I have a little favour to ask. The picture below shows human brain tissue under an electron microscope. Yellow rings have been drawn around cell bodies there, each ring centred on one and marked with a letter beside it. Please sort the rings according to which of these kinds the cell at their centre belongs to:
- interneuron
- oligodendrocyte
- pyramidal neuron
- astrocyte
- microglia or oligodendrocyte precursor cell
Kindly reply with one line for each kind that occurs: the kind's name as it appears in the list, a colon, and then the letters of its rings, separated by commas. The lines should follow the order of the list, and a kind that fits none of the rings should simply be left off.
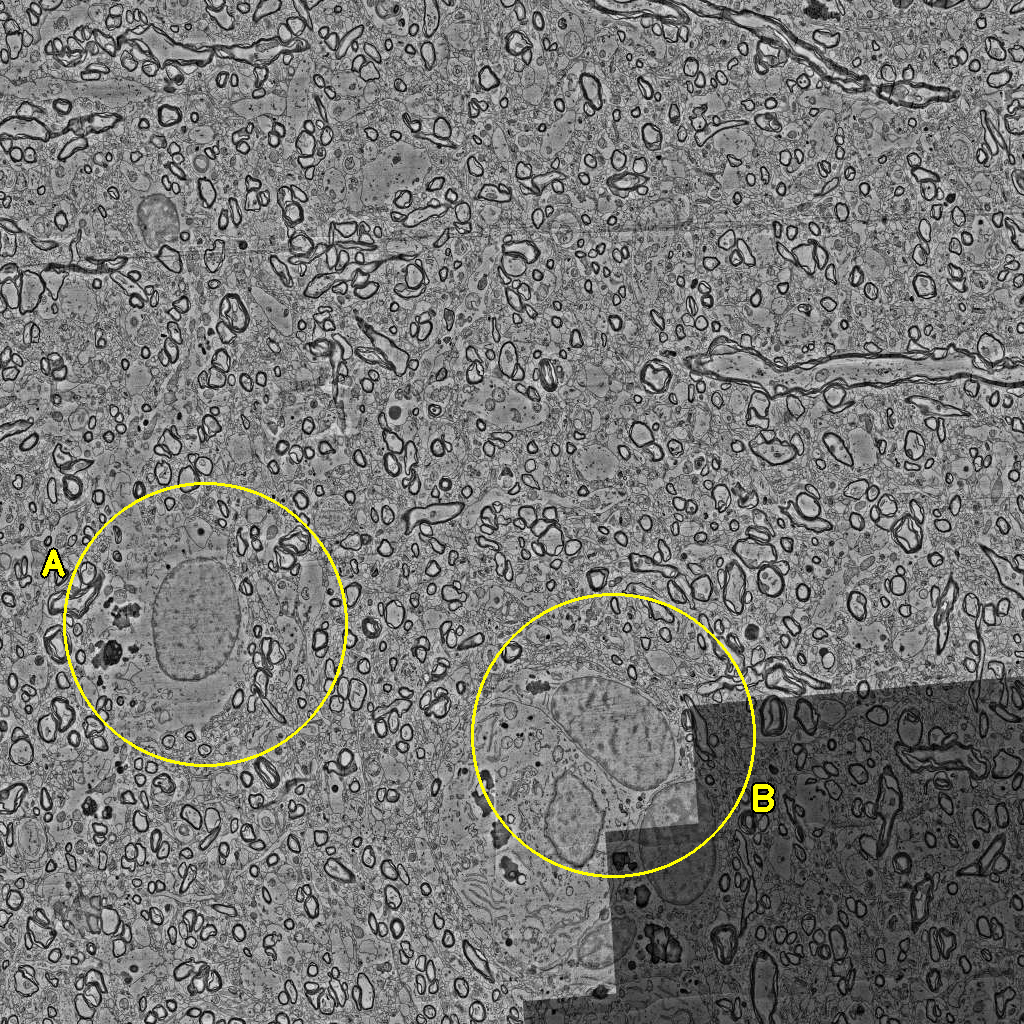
astrocyte: A
microglia or oligodendrocyte precursor cell: B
